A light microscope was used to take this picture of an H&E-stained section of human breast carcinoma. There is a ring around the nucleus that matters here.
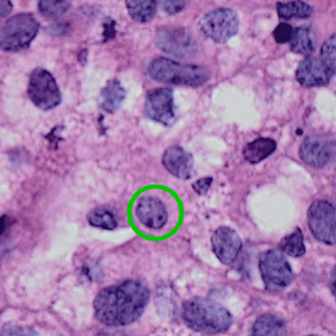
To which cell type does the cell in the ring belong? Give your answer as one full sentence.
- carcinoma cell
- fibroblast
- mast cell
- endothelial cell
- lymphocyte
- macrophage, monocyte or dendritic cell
This is a macrophage, monocyte or dendritic cell.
